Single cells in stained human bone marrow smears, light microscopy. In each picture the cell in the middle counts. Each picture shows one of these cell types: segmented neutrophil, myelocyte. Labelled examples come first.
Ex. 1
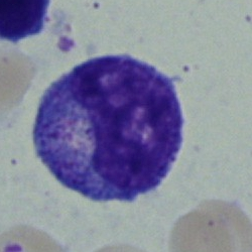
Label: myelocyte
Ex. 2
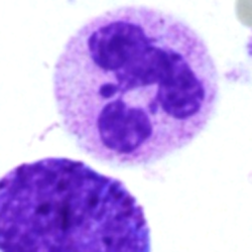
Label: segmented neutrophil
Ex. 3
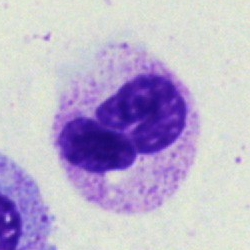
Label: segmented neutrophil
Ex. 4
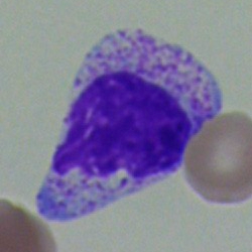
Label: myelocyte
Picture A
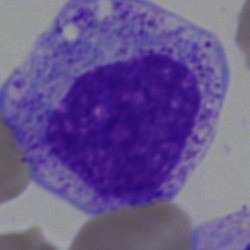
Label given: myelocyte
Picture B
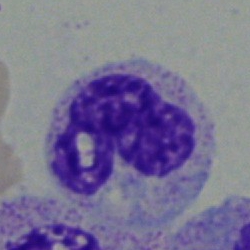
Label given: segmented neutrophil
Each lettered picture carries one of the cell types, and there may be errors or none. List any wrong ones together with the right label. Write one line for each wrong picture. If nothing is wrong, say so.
Nothing to fix; every label fits.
